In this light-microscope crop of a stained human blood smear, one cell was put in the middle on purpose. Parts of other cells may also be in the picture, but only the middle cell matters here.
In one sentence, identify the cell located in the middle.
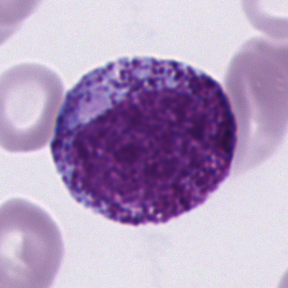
The cell sitting right in the middle is a promyelocyte.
